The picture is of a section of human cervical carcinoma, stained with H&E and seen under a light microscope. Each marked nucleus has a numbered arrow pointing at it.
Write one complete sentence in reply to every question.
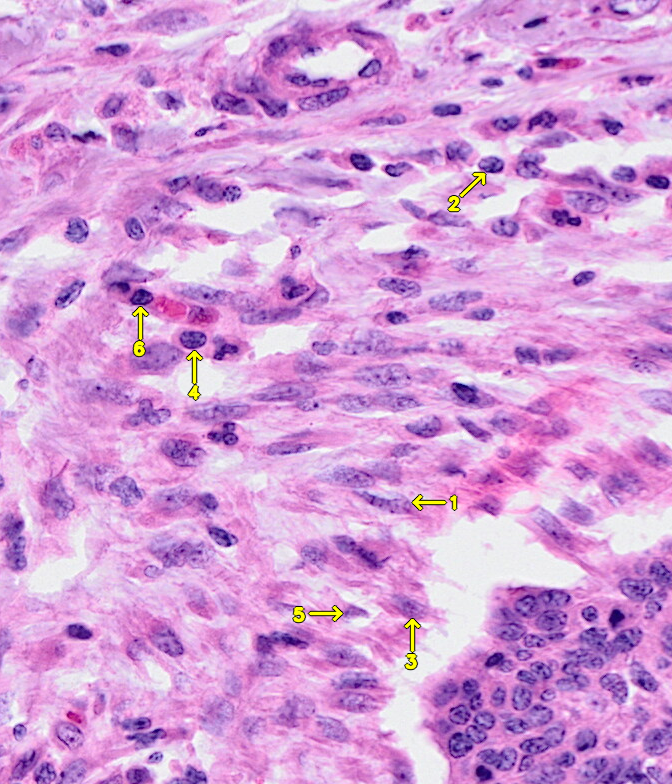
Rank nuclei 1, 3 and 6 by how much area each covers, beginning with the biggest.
Largest first, the order by area is 1, 3, 6.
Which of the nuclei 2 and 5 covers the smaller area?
It is nucleus 5; nucleus 2 has about 1.5 times its area.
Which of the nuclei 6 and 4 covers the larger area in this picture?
It is nucleus 4, which covers about 2 times the area of nucleus 6.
